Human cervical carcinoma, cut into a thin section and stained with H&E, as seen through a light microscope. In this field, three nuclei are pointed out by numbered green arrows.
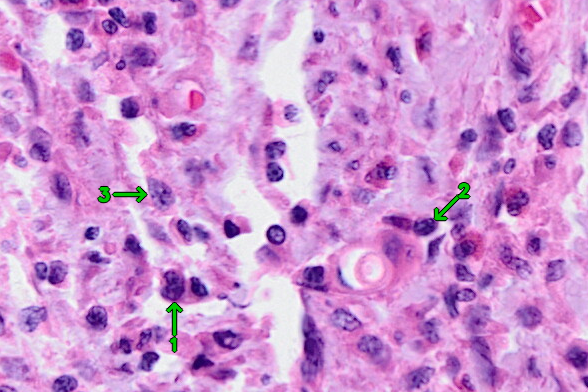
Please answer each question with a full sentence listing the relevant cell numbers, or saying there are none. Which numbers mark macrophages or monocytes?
Marked by the numbers 1 and 3 are cells that are macrophages or monocytes.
